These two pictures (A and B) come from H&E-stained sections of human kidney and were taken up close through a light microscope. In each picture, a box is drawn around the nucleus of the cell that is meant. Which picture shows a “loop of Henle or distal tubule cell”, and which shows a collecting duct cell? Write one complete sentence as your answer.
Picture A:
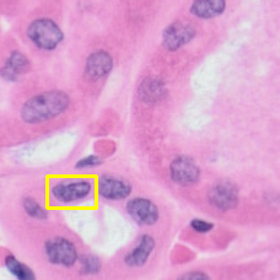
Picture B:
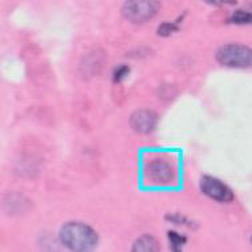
The cell in picture A is a collecting duct cell, and the one in picture B is a “loop of Henle or distal tubule cell”.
